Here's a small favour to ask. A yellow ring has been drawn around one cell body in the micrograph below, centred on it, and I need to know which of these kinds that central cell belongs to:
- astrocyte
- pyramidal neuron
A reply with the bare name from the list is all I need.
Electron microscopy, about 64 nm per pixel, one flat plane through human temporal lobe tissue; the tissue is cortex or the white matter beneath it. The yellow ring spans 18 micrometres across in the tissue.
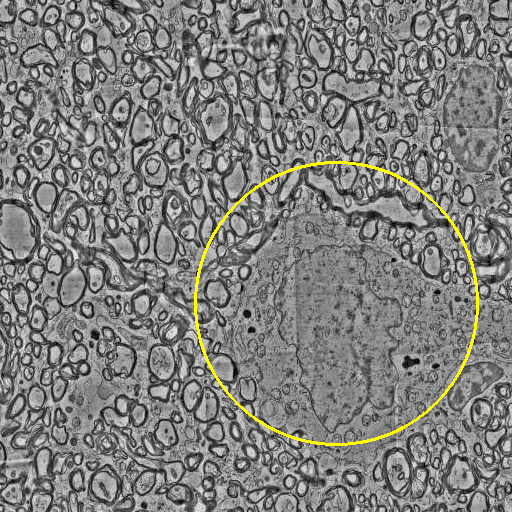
pyramidal neuron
